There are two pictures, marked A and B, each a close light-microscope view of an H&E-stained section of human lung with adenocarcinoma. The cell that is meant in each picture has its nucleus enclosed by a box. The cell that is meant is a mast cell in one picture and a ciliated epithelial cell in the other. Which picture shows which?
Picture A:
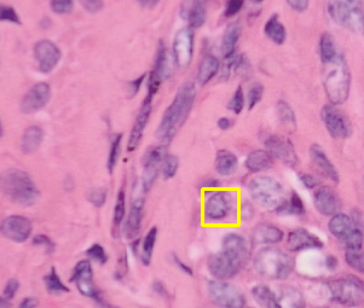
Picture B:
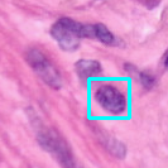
A: ciliated epithelial cell
B: mast cell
